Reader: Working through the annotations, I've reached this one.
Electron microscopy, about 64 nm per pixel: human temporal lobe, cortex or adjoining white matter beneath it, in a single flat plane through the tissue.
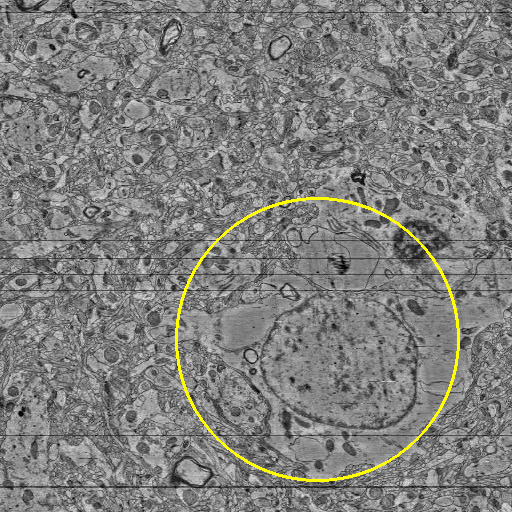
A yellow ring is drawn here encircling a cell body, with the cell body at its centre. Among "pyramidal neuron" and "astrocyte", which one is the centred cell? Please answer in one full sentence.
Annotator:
The cell body at the centre of the yellow ring in this image belongs to an astrocyte.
